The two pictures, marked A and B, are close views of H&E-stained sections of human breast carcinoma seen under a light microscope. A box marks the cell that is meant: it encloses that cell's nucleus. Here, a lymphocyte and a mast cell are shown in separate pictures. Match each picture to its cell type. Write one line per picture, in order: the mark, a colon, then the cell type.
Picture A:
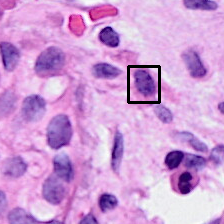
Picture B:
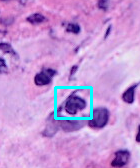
A: mast cell
B: lymphocyte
